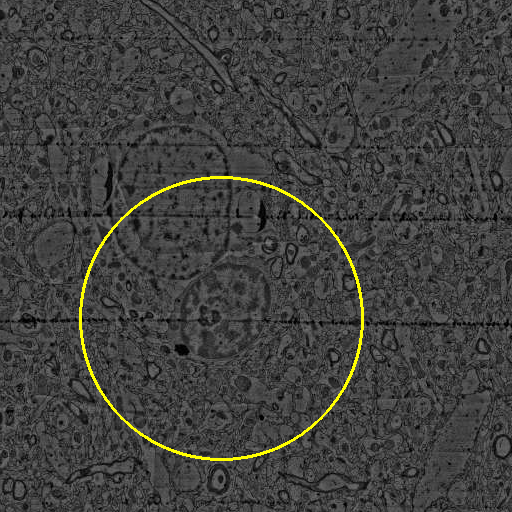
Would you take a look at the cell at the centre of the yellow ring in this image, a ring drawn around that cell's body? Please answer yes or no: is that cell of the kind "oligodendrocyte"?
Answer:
yes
